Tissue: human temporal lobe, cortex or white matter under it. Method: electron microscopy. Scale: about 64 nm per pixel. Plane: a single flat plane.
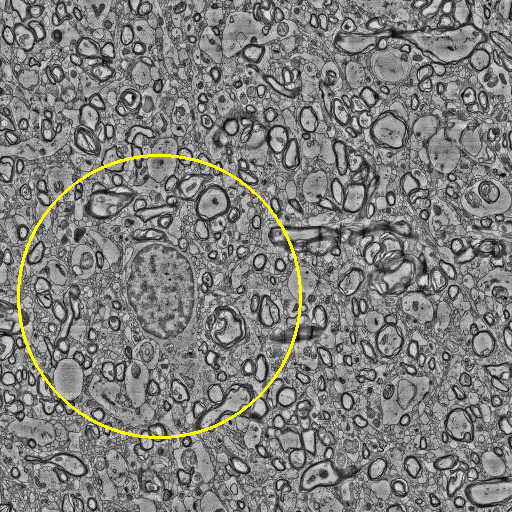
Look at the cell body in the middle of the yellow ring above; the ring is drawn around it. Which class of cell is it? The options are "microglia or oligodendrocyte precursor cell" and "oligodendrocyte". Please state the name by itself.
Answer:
oligodendrocyte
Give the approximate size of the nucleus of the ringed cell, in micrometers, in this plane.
In this plane, the nucleus is roughly 6 by 4 micrometres.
